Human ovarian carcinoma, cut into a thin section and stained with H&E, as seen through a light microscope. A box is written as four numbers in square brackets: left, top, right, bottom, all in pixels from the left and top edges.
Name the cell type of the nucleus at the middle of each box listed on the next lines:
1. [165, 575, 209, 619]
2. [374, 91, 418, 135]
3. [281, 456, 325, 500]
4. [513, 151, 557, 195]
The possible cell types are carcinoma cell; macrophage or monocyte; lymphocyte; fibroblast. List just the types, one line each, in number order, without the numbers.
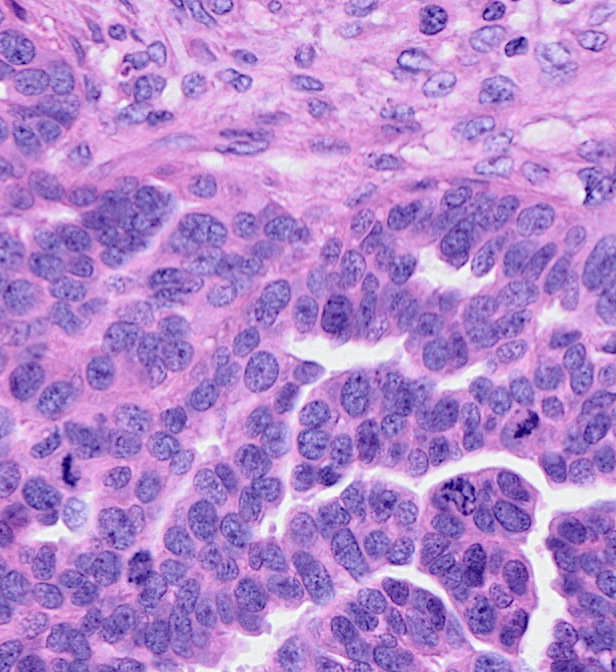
carcinoma cell
fibroblast
carcinoma cell
fibroblast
